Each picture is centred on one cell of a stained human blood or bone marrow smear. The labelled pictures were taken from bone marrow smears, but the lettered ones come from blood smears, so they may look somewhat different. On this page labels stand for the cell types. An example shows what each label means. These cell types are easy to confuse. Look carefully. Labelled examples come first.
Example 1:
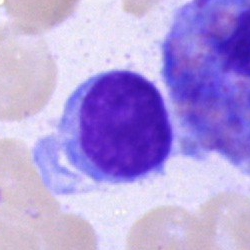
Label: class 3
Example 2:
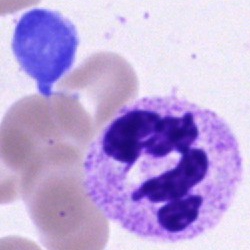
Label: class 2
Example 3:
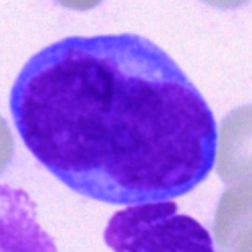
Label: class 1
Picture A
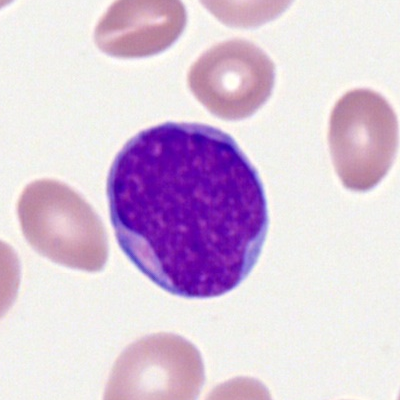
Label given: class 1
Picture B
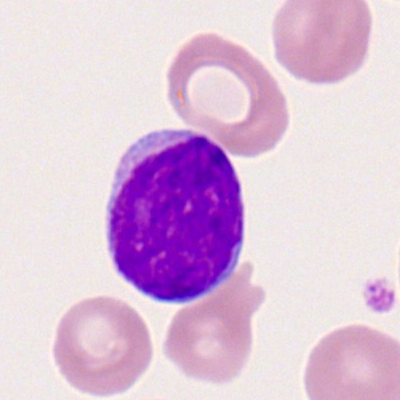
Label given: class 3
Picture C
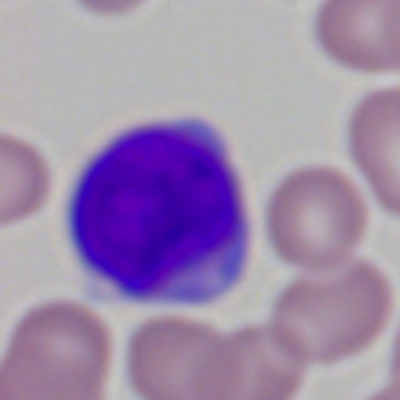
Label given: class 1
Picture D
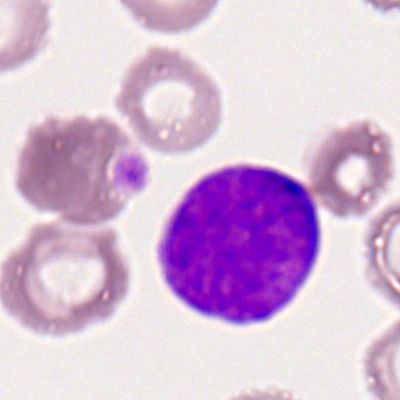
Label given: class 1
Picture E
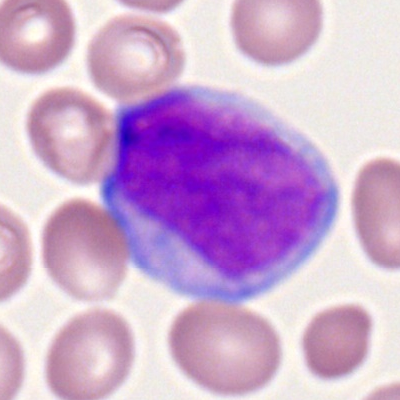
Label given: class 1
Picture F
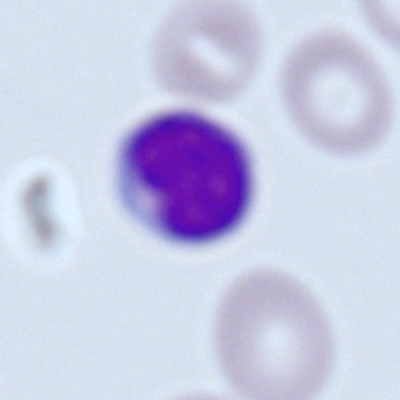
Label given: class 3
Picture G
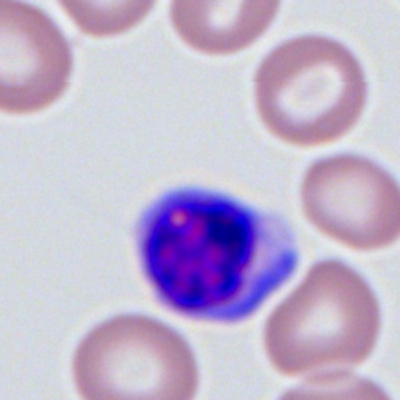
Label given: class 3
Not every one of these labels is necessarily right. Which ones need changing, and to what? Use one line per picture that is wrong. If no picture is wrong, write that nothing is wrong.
Nothing to fix; every label fits.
